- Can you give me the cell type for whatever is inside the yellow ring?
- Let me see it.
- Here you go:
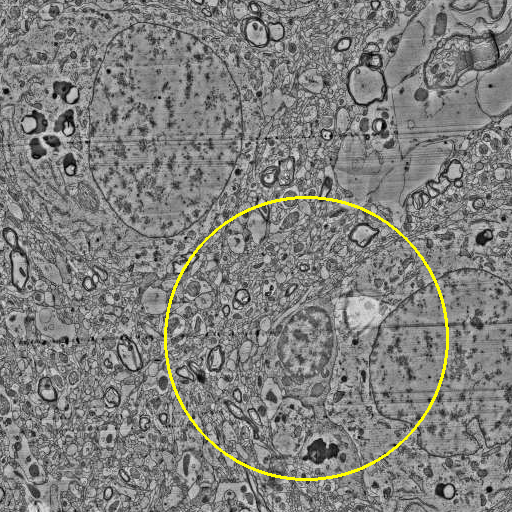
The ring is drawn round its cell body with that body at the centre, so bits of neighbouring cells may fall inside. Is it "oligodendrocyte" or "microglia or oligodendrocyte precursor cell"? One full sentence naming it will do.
The cell body in the middle of the ring in this picture belongs to an oligodendrocyte.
